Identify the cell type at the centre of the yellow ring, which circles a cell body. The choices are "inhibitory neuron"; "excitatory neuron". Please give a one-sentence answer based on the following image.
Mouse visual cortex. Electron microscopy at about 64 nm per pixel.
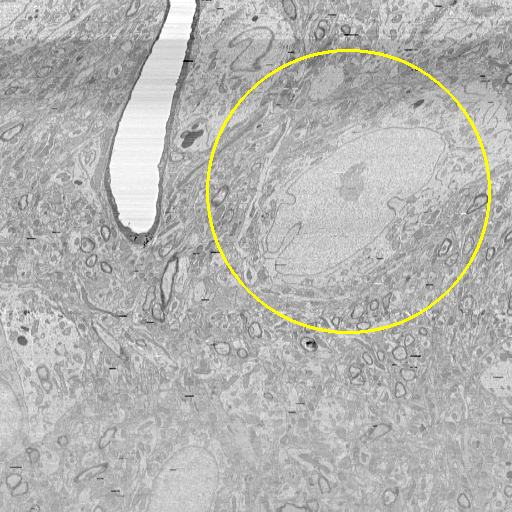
The cell marked by the ring is an excitatory neuron.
